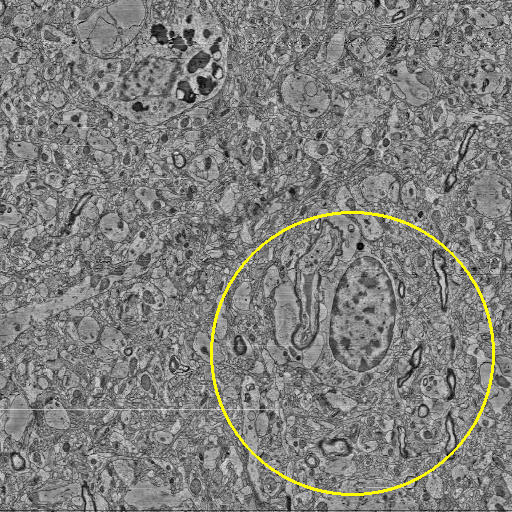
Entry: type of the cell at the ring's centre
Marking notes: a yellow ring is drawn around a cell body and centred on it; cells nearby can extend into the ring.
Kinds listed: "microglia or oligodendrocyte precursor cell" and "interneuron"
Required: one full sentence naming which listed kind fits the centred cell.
My entry names a microglial cell or oligodendrocyte precursor cell as the cell whose body the yellow ring centres on.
